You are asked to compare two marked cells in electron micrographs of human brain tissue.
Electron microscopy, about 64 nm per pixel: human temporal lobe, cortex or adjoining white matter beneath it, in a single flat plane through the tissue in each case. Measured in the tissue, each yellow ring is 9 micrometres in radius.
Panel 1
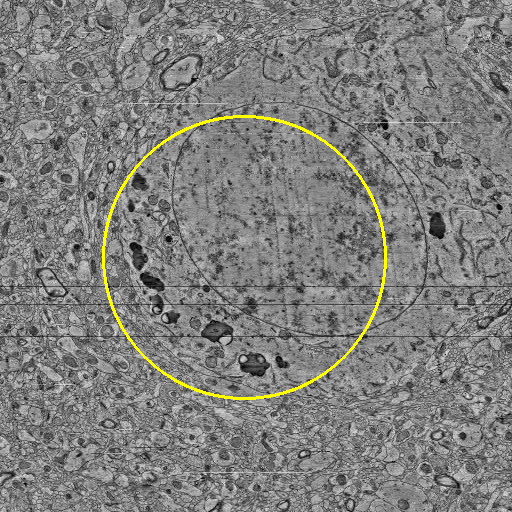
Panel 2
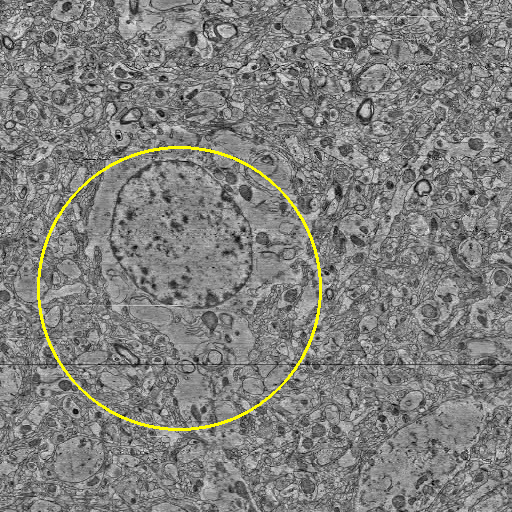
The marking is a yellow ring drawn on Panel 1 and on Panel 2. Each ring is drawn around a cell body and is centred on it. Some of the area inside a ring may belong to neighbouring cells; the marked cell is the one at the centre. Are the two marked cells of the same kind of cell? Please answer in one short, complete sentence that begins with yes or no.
No, the two marked cells are of two kinds.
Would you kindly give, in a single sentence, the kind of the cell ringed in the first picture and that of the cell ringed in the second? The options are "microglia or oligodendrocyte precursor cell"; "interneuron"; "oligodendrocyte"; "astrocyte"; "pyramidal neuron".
The second cell is an astrocyte, and the first cell is a pyramidal neuron.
